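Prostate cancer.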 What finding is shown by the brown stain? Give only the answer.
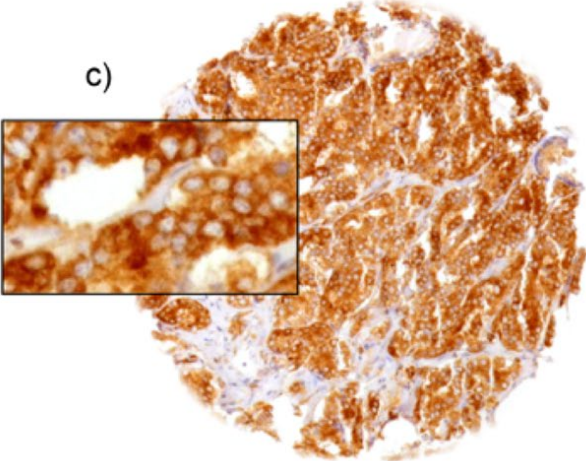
Strong cytoplasmic staining.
